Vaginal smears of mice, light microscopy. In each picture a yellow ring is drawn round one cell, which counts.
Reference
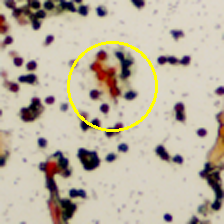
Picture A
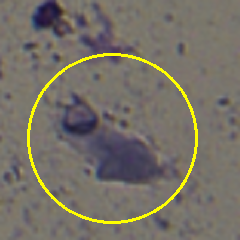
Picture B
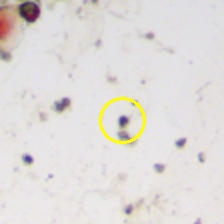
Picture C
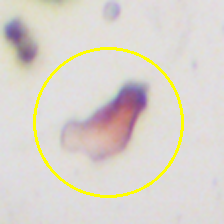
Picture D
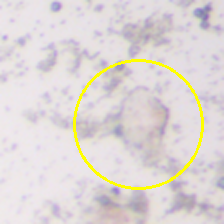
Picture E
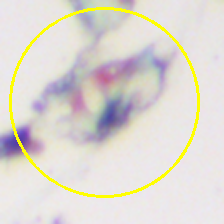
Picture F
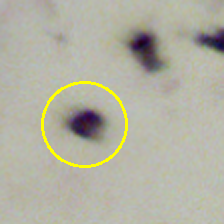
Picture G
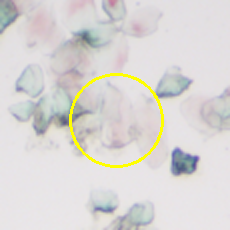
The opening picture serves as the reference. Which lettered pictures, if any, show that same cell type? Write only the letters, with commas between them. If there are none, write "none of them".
A, C, D, E, G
